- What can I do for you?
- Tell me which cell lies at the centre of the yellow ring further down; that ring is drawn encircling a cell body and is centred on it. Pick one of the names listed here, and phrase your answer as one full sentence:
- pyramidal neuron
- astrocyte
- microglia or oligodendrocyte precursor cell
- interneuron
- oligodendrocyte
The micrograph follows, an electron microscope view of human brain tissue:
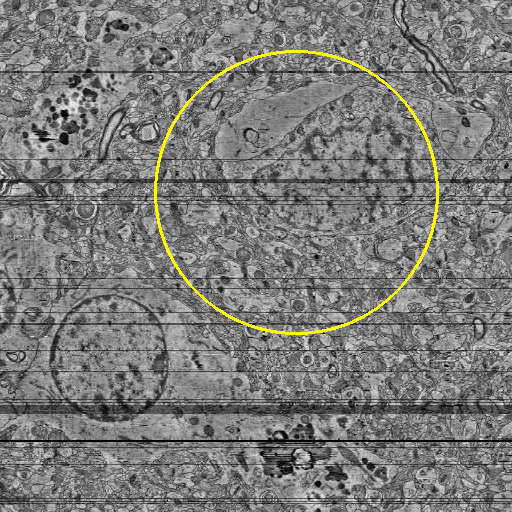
The cell whose body lies at the centre of the yellow ring is an interneuron.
